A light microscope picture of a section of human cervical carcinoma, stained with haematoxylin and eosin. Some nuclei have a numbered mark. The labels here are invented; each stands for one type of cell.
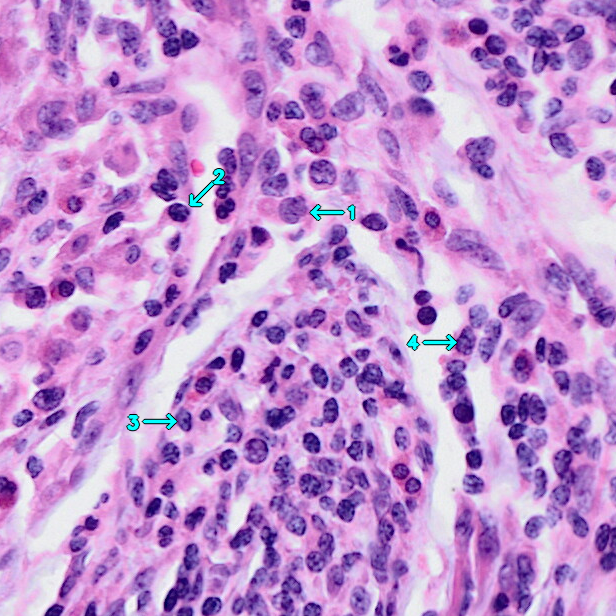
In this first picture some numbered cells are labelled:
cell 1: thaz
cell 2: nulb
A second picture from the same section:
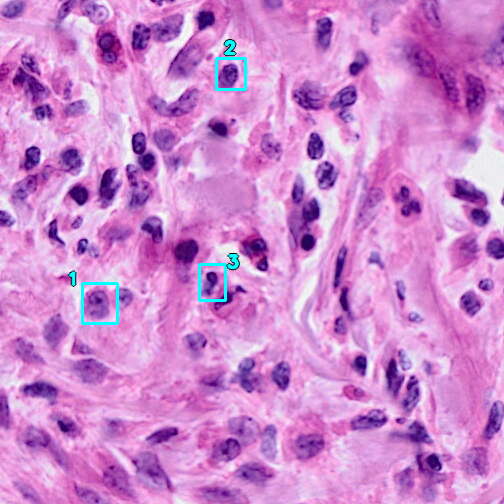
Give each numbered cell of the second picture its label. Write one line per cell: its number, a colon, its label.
1: thaz
2: nulb
3: nulb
